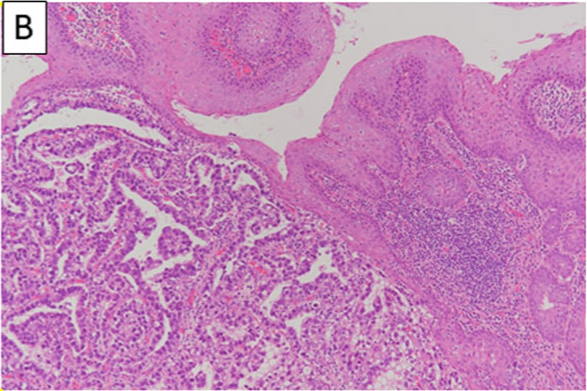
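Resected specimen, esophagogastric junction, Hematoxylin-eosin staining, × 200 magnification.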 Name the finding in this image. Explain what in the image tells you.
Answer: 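Crowded, irregular, branching glands lined by atypical cells with enlarged dark nuclei. Glands are back to back with little intervening stroma. Gland formation is still recognizable. The answer: moderately differentiated adenocarcinoma.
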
